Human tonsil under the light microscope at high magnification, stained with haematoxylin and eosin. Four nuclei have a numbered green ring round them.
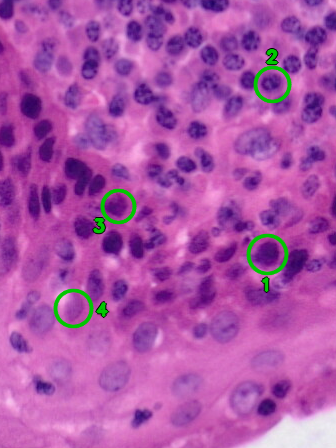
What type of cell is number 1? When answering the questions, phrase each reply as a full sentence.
The cell assigned the number 1 is a squamous epithelial cell.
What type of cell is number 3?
The cell indicated with the number 3 is classed as a squamous epithelial cell.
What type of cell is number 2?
The one labeled 2 is a plasma cell, to put it simply.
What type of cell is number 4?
The mark numbered 4 indicates the nucleus of a squamous epithelial cell.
